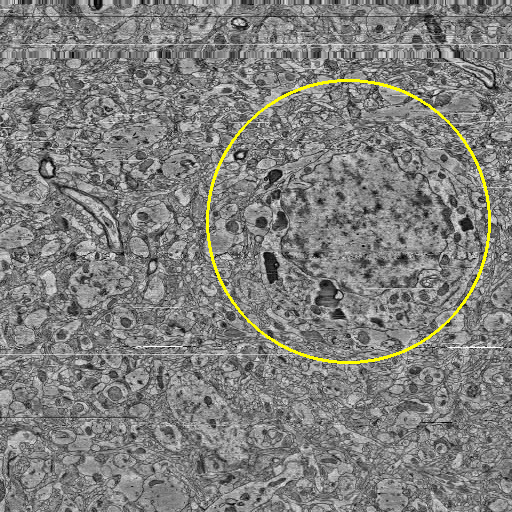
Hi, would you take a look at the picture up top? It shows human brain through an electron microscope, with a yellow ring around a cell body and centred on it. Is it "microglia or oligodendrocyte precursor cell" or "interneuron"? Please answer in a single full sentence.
The best fit for the cell in the middle of the ring is an interneuron, I reckon.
